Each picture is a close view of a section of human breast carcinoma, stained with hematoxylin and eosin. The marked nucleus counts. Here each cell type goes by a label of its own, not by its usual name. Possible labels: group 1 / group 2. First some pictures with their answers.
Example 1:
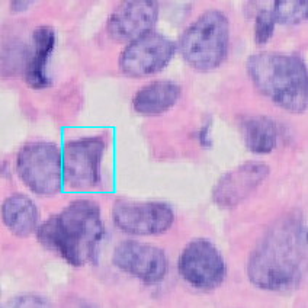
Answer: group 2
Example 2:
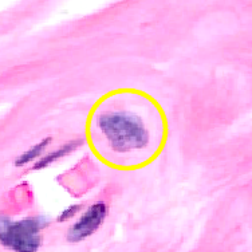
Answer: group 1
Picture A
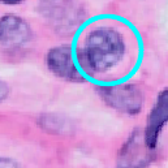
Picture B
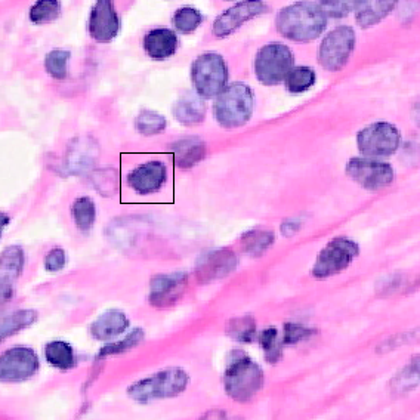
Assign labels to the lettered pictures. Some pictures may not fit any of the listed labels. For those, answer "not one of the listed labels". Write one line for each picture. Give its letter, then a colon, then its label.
A: group 2
B: not one of the listed labels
